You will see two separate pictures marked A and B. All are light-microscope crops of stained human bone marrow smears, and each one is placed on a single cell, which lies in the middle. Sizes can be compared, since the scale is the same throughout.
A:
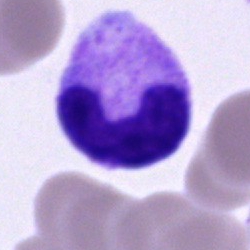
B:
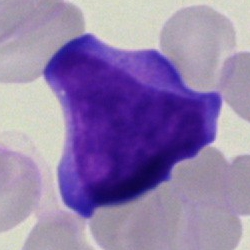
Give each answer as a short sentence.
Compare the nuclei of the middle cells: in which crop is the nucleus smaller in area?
Smaller is the nucleus in crop A, and the other is about 2 times as large in area.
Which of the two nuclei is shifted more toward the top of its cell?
It is the nucleus in crop B that lies further toward the top of its cell.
